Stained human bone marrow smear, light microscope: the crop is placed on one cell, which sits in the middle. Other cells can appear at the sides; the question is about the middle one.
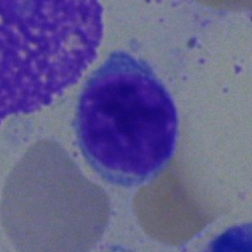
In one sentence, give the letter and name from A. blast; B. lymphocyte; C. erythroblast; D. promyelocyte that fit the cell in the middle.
The cell in the middle is a lymphocyte, and that makes option B correct.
